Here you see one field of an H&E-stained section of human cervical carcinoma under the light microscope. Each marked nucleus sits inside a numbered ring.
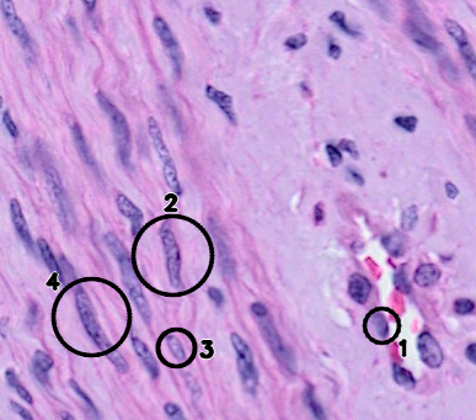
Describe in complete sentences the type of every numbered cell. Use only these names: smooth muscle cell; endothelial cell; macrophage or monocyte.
Cell 1 is an endothelial cell, cell 2 is a smooth muscle cell, cell 3 is a smooth muscle cell and cell 4 is a smooth muscle cell.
